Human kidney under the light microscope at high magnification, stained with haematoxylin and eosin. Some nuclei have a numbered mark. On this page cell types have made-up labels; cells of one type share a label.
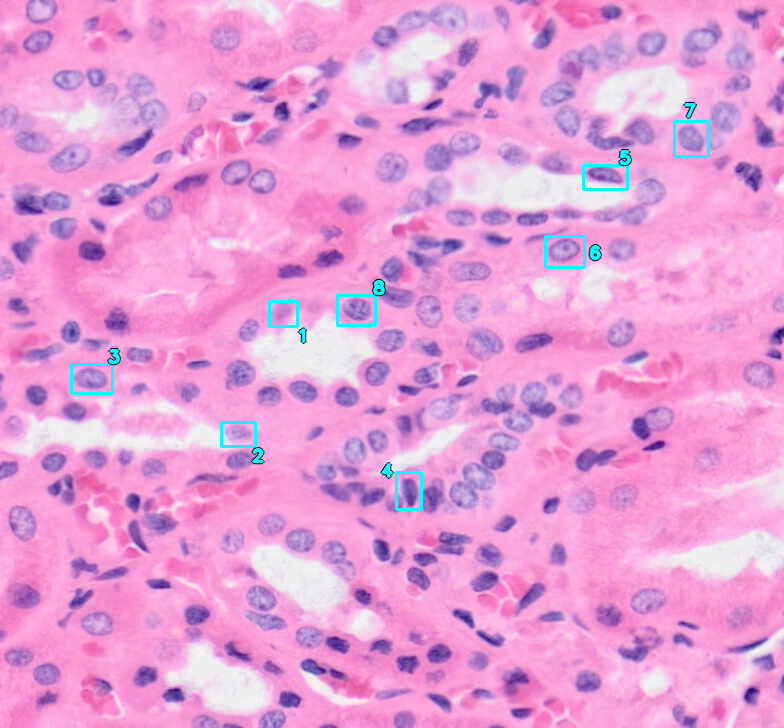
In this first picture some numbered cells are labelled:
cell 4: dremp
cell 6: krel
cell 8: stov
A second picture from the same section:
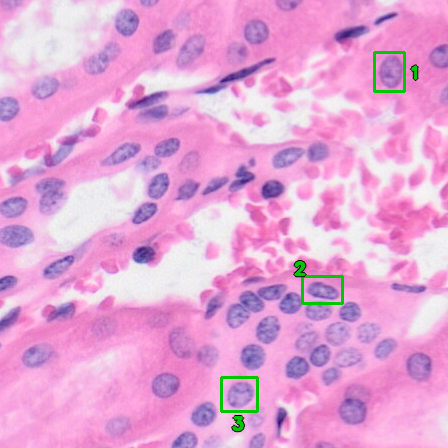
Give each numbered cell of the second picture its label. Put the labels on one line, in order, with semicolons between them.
krel; dremp; dremp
